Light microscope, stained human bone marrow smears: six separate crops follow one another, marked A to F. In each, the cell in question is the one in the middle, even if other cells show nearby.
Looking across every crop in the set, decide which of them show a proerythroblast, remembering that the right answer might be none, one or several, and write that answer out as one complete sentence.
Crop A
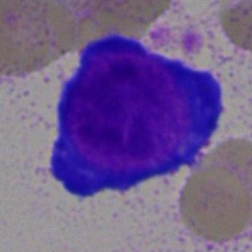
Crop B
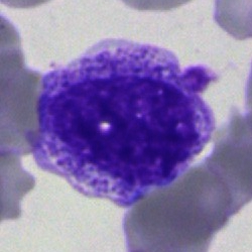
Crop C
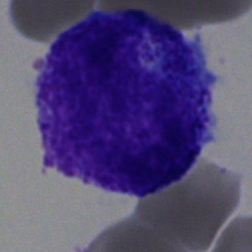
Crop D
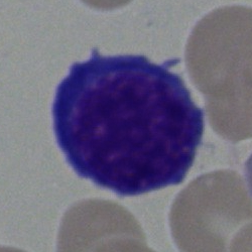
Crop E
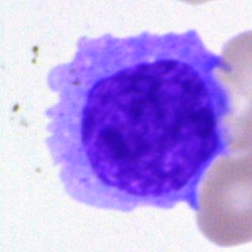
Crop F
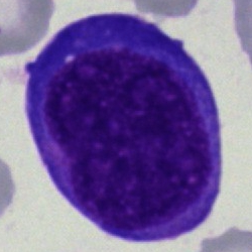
The central cells in crops A, D and F are recognised as proerythroblasts.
